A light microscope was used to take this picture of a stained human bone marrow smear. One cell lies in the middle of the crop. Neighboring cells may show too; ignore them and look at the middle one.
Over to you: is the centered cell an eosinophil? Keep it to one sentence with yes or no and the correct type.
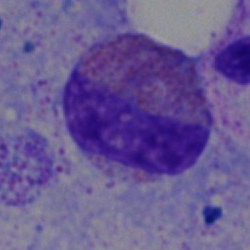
Yes, the middle cell is properly termed an eosinophil.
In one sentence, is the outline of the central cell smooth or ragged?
Nothing juts out from the margin, which is smooth throughout.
